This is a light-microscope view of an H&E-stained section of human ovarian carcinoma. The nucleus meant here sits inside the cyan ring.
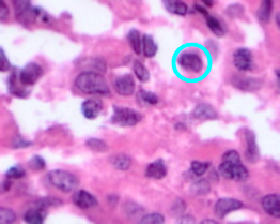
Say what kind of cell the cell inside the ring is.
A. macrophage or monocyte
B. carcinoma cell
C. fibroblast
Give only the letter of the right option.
B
